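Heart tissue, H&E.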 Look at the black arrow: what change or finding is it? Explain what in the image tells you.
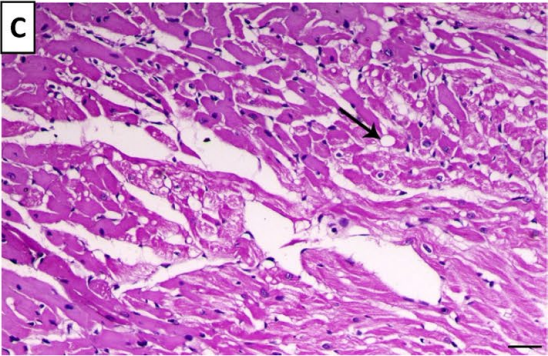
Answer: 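Round clear vacuoles lie within the muscle bundles. The vacuolated areas have a foamy, pale look. So: fatty vacuolation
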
